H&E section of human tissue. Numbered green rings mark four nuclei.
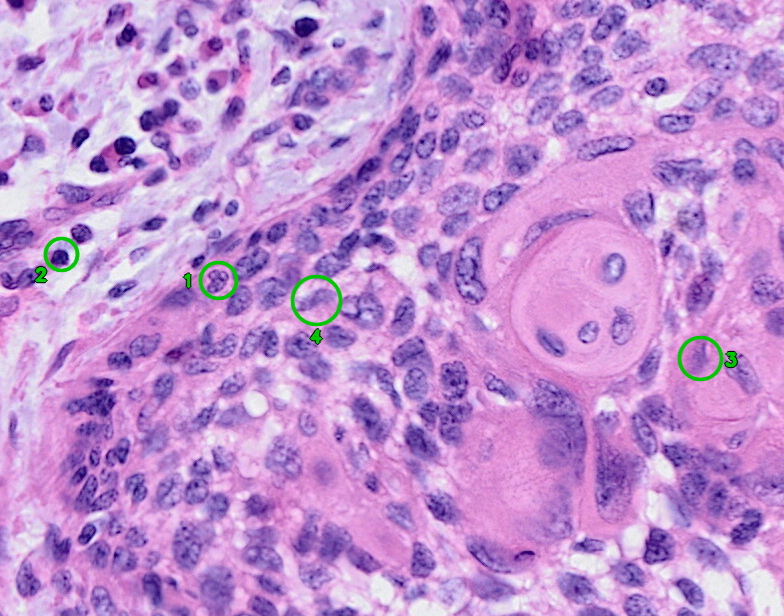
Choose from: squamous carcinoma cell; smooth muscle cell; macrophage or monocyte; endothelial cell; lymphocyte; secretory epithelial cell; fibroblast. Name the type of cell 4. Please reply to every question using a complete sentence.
The cell to which the number 4 is assigned is a squamous carcinoma cell.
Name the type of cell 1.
As for number 1, that cell is a squamous carcinoma cell.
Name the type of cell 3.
Heads up, the cell numbered 3 is a squamous carcinoma cell.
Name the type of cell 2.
The one labeled 2 is a lymphocyte, to put it simply.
